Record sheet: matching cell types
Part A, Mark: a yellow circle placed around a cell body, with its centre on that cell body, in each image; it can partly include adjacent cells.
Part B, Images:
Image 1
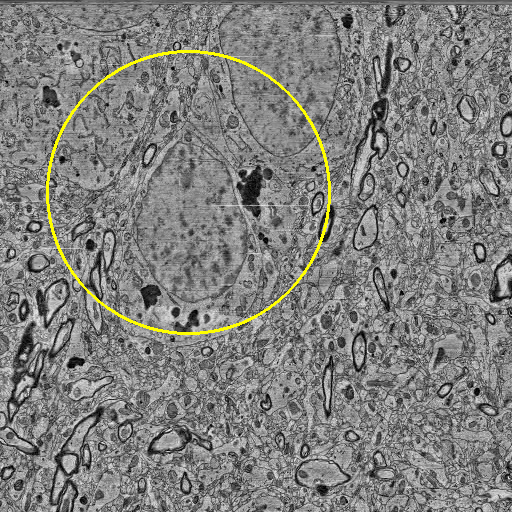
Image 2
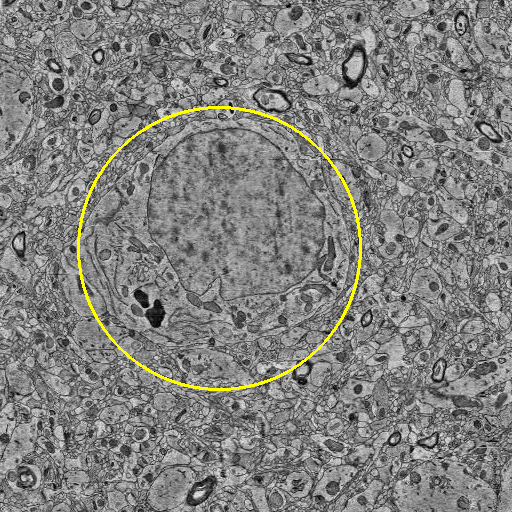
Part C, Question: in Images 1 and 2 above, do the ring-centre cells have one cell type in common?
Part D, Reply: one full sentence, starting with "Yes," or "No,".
Yes, the ring-centre cells of Image 1 and Image 2 are both of a single cell type.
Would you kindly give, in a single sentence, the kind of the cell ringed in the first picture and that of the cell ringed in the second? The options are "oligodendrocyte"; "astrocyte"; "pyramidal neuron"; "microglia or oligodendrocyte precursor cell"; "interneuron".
The cell in the first picture is an interneuron, and so is the one in the second.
